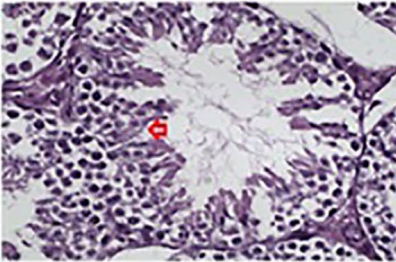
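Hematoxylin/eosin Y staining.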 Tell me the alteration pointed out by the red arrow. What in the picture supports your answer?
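Germ cells at the marked spot lie loosened toward the lumen. The epithelial lining is irregular and frayed at its inner border. So: sloughing germinal epithelium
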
